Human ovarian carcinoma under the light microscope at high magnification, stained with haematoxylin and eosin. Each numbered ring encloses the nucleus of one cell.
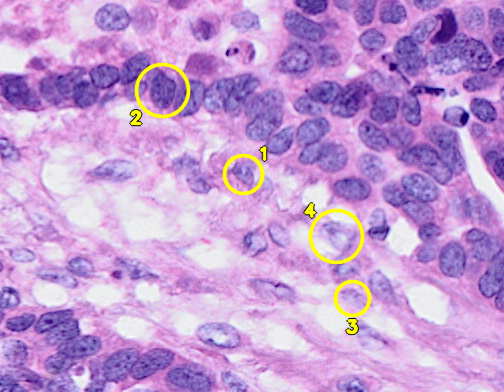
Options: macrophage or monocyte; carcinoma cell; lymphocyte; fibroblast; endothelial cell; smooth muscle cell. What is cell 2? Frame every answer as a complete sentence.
The cell carrying label 2 is identified as a carcinoma cell.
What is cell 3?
Among the marked cells, number 3 is a fibroblast.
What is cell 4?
The nucleus marked 4 is the nucleus of a fibroblast.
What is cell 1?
The numbered cell 1 is identified here as a fibroblast.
